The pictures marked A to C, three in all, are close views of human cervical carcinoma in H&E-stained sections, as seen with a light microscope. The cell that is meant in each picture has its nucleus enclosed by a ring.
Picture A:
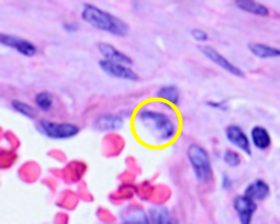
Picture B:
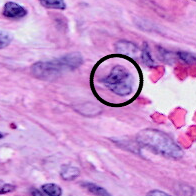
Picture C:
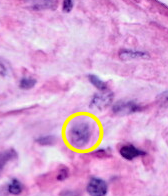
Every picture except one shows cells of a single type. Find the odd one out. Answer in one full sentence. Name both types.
All pictures except C show endothelial cells; picture C shows a “macrophage or monocyte”.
